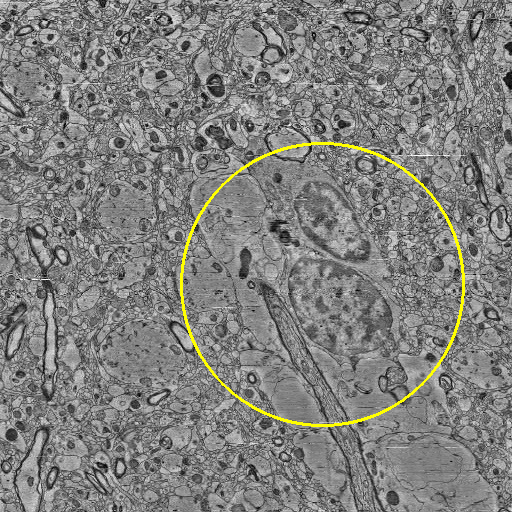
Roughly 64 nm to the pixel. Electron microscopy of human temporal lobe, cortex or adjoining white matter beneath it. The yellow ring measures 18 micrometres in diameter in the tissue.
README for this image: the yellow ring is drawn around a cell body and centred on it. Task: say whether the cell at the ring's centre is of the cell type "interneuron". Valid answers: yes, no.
no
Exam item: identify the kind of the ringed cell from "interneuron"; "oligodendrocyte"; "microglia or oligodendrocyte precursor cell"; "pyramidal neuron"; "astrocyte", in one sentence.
In this picture, the ring is centred on an oligodendrocyte.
